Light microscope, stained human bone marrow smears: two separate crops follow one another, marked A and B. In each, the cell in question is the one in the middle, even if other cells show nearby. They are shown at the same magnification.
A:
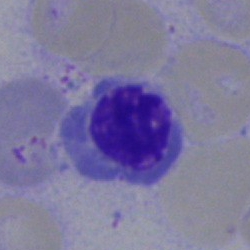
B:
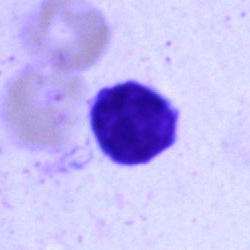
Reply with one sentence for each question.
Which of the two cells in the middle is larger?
Picture A holds the larger cell; it covers about 1.5 times the area of the cell in picture B.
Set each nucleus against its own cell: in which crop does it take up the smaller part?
Of the two, the nucleus in picture A leaves more room for cytoplasm.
